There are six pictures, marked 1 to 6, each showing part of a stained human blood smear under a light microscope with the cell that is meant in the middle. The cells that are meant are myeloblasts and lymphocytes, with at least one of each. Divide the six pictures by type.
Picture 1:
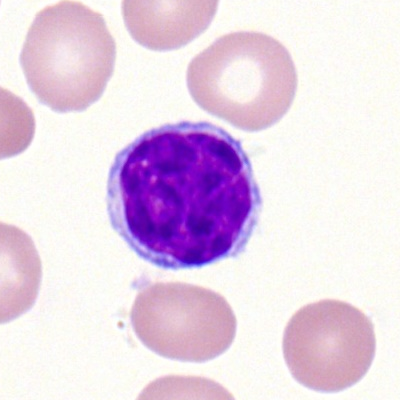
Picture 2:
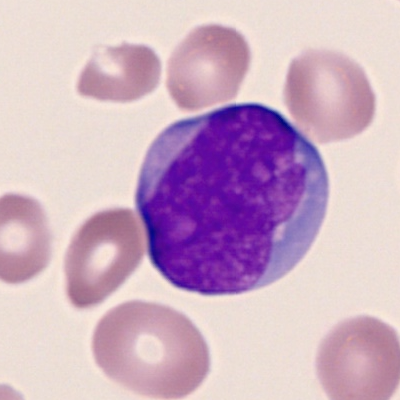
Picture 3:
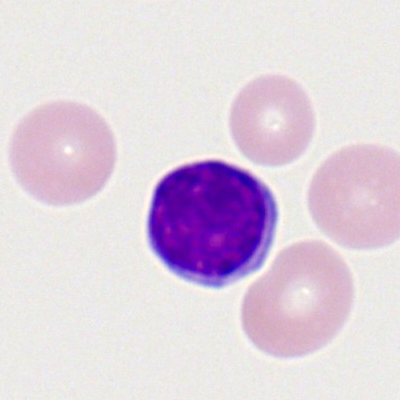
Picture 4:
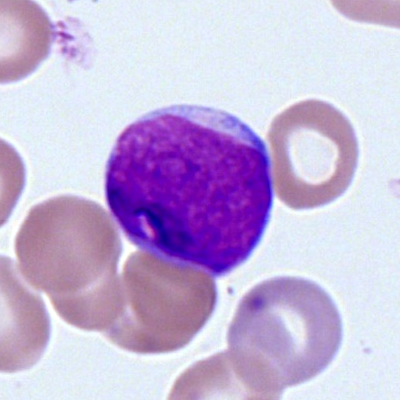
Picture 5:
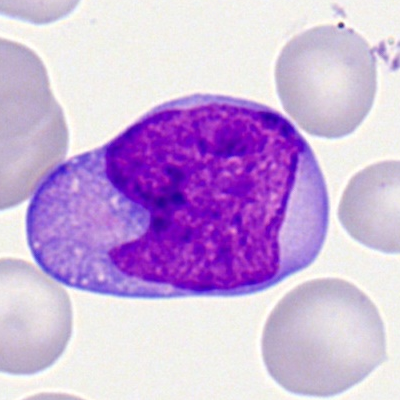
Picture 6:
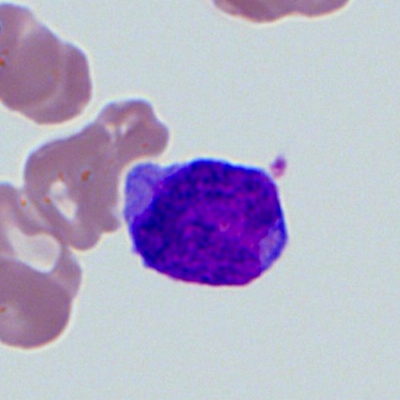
1: lymphocyte
2: myeloblast
3: lymphocyte
4: myeloblast
5: myeloblast
6: lymphocyte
